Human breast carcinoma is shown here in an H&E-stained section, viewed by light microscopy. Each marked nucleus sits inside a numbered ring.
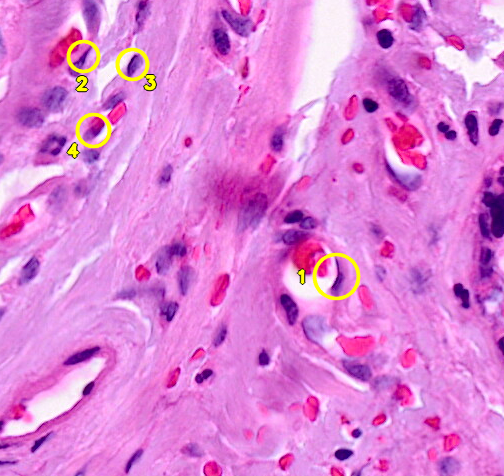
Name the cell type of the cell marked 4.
endothelial cell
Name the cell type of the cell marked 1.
endothelial cell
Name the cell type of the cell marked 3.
fibroblast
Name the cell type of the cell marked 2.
endothelial cell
